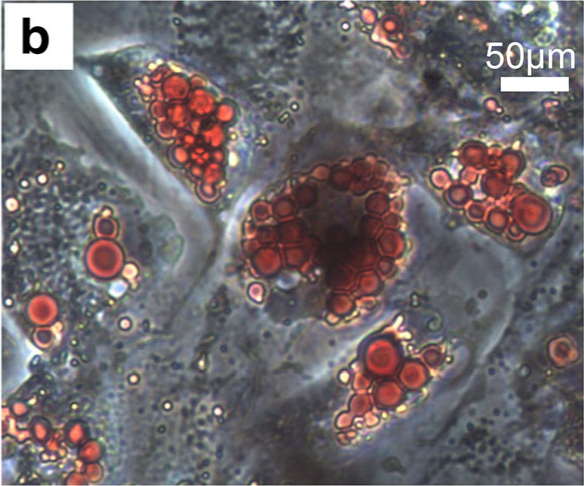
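Several cells hold clusters of round, refractile droplets of varying sizes, each stained red, packed closely together in the cytoplasm, with smaller scattered droplets nearby. The surrounding cells are flat and pale, and the background carries fine unstained granules.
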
